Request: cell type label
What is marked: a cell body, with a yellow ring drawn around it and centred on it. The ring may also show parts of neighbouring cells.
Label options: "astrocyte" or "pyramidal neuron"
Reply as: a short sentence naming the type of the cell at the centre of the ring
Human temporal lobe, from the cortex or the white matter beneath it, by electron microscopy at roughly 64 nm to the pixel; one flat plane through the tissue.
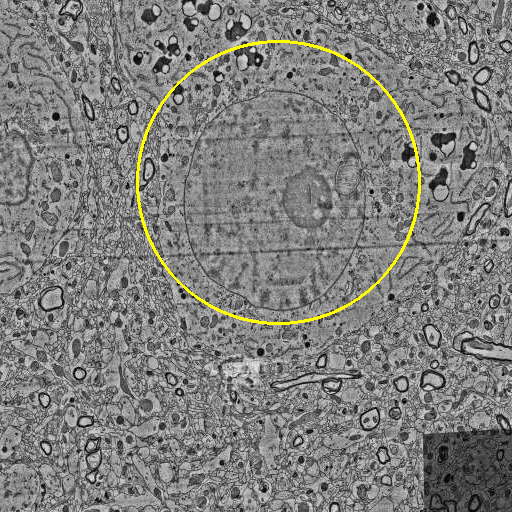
The marked cell body is that of a pyramidal neuron.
